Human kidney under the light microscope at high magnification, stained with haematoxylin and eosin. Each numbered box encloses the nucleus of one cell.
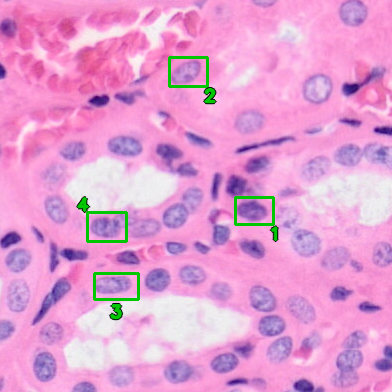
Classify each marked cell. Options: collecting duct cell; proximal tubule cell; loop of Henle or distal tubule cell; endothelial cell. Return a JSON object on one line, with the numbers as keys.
{"1": "collecting duct cell", "2": "proximal tubule cell", "3": "collecting duct cell", "4": "collecting duct cell"}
